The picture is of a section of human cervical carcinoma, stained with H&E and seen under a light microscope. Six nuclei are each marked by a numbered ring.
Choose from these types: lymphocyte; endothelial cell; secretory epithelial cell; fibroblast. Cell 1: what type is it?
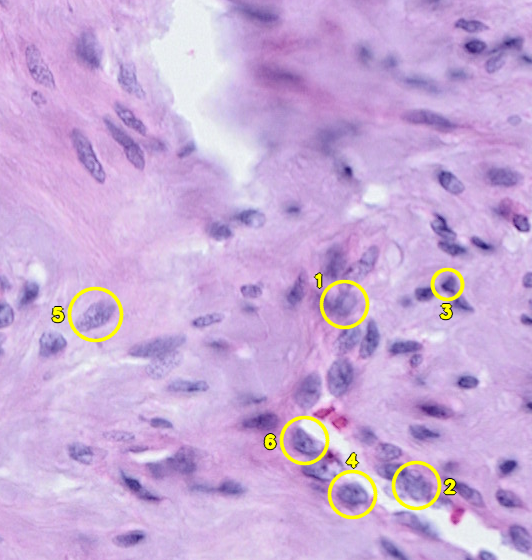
endothelial cell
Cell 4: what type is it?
endothelial cell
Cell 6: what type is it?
endothelial cell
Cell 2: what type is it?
endothelial cell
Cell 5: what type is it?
fibroblast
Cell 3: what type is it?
fibroblast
